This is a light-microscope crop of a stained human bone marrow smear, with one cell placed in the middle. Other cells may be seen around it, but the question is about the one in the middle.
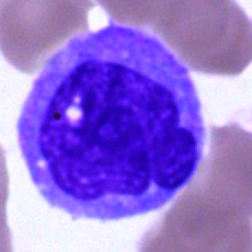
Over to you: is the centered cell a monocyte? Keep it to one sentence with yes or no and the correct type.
Yes, the centrally placed cell is a monocyte.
